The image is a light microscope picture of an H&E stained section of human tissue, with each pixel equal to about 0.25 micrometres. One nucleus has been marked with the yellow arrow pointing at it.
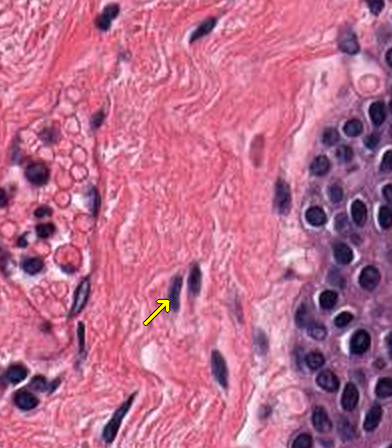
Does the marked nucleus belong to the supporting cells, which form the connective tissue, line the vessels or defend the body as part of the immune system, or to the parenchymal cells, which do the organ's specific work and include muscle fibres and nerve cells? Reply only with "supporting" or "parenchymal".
supporting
